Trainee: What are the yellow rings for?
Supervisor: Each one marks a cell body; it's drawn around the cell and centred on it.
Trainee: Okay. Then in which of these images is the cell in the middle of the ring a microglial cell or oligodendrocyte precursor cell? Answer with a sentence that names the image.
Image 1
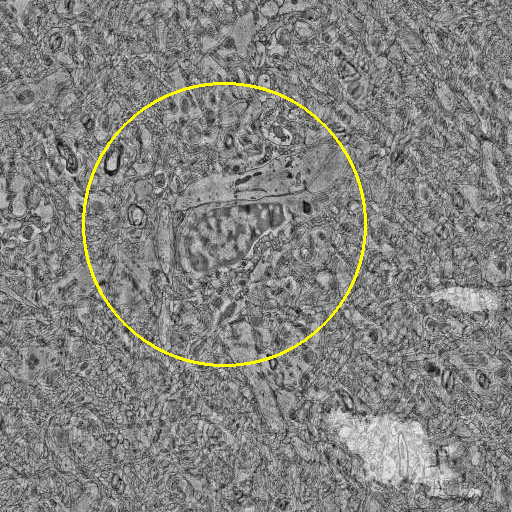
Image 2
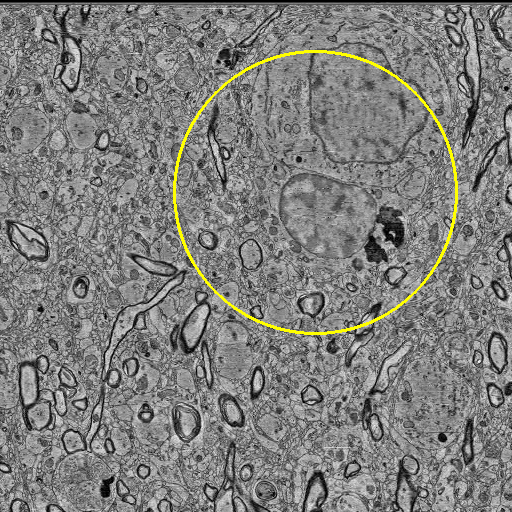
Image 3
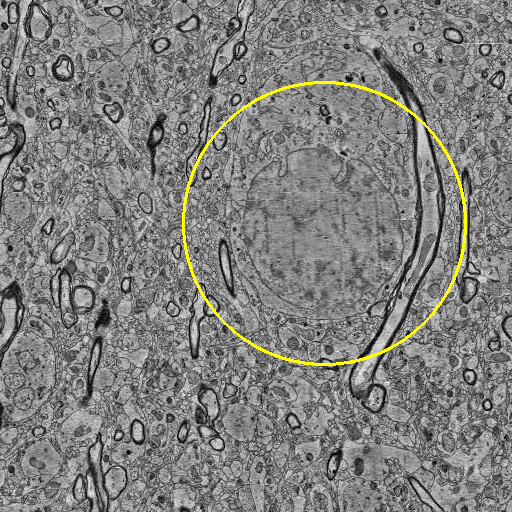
Image 1 has it in the middle of the ring.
